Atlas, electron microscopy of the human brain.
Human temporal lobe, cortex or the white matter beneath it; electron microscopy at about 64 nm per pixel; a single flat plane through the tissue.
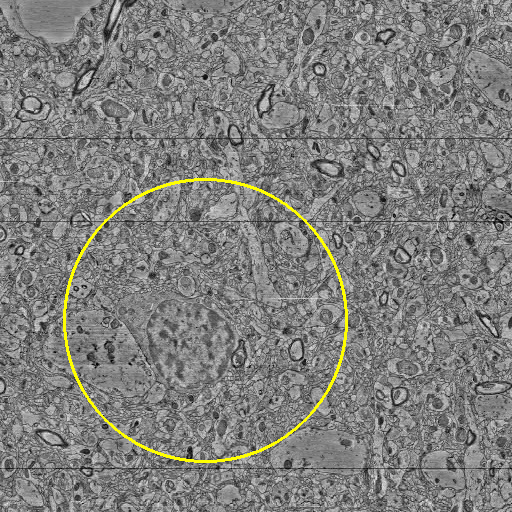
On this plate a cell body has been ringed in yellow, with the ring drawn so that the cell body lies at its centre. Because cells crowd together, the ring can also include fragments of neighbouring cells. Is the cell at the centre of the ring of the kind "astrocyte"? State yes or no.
No, it is of another kind.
